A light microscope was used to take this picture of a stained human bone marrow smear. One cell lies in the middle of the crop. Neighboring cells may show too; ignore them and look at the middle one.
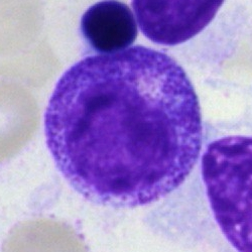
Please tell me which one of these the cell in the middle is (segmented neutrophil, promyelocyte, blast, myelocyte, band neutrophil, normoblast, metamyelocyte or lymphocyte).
promyelocyte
